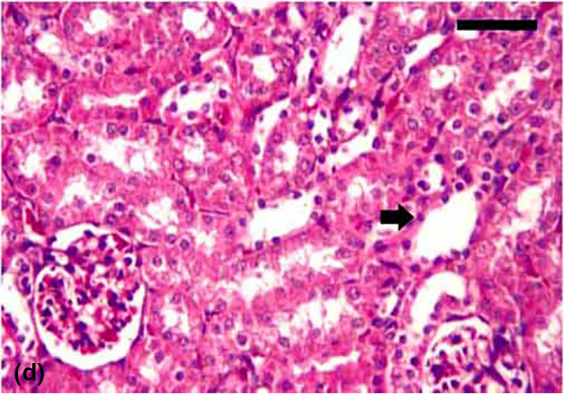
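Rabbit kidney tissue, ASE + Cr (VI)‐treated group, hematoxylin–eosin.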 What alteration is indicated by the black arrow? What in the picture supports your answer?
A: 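The arrow points to a tubule with a widened, clear lumen.
Renal tubules swelled.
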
